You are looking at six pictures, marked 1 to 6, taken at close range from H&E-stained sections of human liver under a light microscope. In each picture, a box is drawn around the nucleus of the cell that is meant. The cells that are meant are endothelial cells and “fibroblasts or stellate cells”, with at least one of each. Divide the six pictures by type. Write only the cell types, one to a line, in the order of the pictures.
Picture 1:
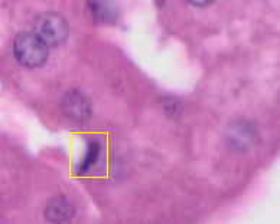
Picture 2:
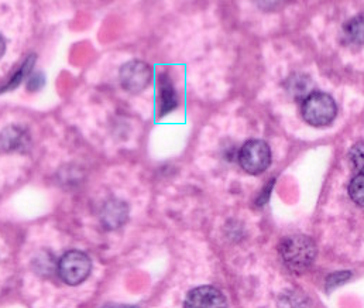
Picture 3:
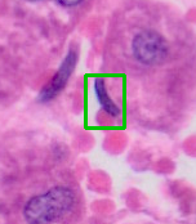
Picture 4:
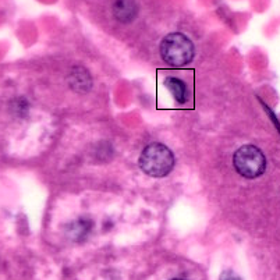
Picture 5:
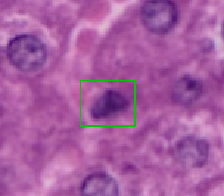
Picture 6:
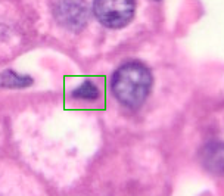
fibroblast or stellate cell
fibroblast or stellate cell
endothelial cell
fibroblast or stellate cell
endothelial cell
fibroblast or stellate cell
